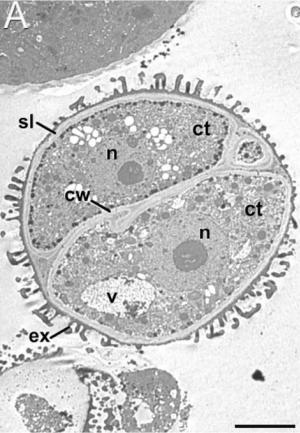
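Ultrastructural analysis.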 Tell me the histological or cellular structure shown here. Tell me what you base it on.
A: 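A few cells divided by thin inner walls lie inside one rounded outer wall. The outer wall bears many short spiny projections. Each cell has a nucleus and dense cytoplasm.
Exine-enclosed embryo.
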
